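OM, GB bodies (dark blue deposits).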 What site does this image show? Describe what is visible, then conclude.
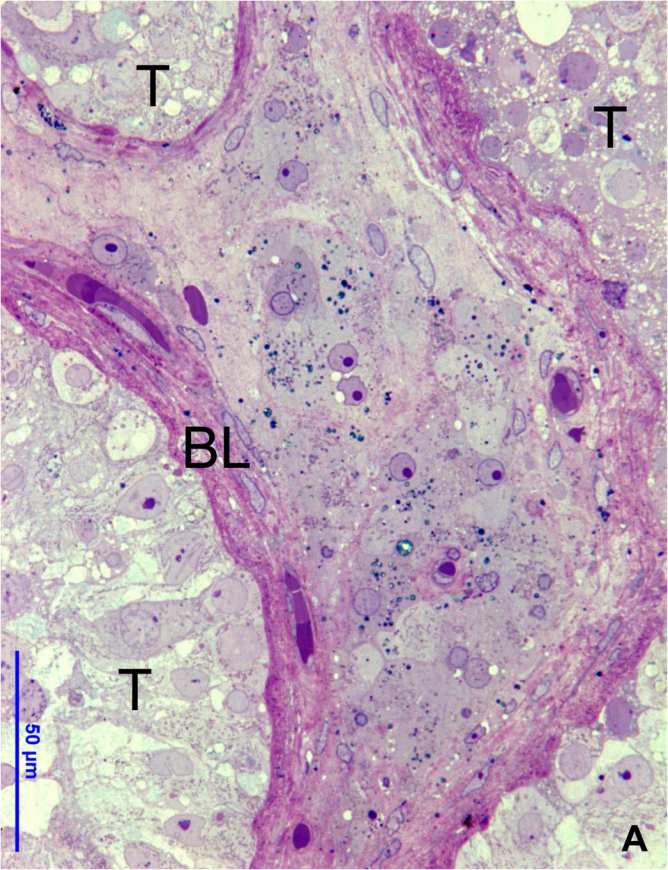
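Interstitial tissue. A central region lies between the rounded compartments. It holds scattered cells in loose pale matrix with many dark blue granules.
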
